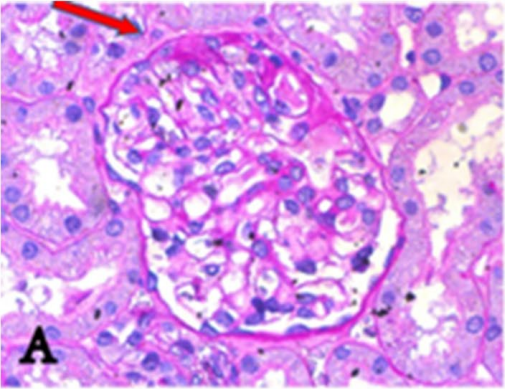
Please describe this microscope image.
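This is kidney cortex with a single round glomerulus in the centre, surrounded by cross-sections of tubules. The glomerular tuft is made of many looped capillaries outlined by magenta basement membranes, with scattered blue nuclei between them. The tuft nearly fills the space inside the capsule, and at its upper-left edge the magenta matrix appears denser. The surrounding tubules are lined by cuboidal cells with round blue nuclei and pale pink cytoplasm, some with open lumens.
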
